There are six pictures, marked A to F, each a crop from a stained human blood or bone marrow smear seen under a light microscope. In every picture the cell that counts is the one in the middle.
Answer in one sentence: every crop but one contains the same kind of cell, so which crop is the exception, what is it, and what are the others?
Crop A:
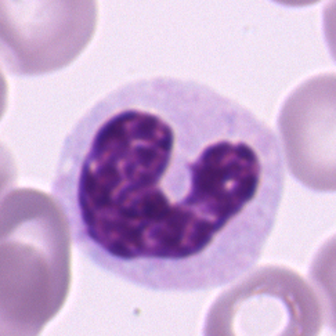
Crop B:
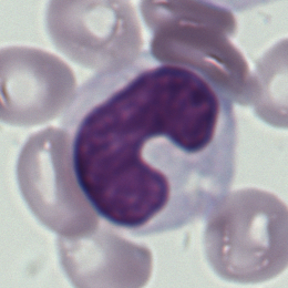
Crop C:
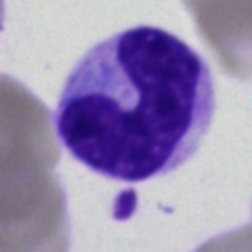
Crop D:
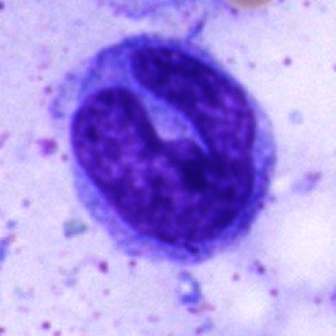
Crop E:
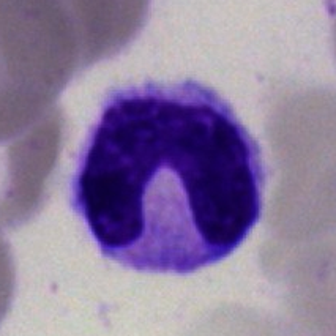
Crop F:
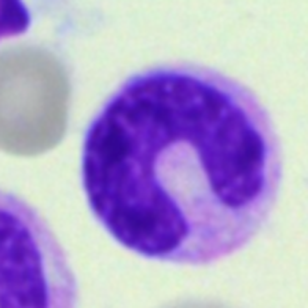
Excluding crop D, which is a monocyte, the crops all show band neutrophils.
